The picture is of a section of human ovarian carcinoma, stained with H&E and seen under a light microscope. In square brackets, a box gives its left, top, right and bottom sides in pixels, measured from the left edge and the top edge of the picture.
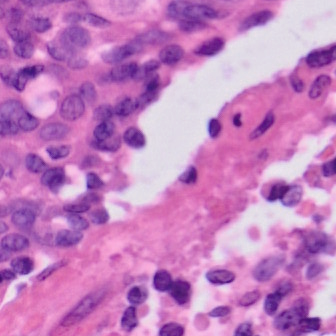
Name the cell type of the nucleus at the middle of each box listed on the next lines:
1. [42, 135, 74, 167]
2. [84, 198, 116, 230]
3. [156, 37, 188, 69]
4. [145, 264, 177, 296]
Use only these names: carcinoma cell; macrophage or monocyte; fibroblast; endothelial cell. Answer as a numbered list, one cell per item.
1. macrophage or monocyte
2. carcinoma cell
3. carcinoma cell
4. carcinoma cell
